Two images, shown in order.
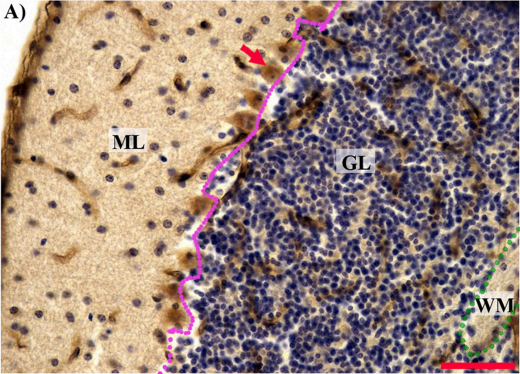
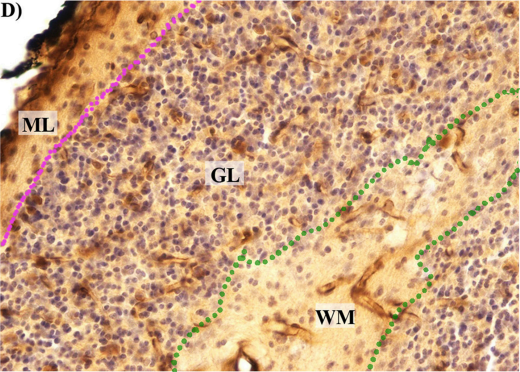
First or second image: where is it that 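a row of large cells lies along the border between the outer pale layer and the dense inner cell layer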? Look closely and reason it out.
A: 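Second image: no row of large cells at the border; the inner layer is loosely packed with paler nuclei. First image: large cell profiles line the border, and the inner layer is a dense mass of small dark nuclei. That points to this answer: the first image.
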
